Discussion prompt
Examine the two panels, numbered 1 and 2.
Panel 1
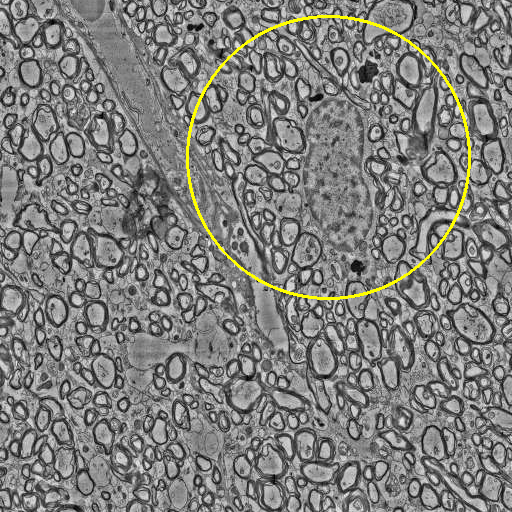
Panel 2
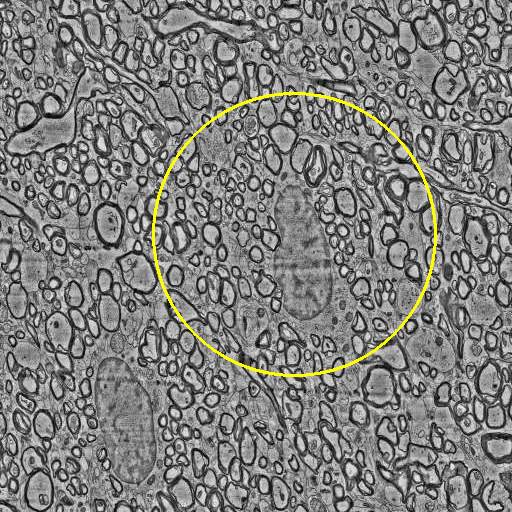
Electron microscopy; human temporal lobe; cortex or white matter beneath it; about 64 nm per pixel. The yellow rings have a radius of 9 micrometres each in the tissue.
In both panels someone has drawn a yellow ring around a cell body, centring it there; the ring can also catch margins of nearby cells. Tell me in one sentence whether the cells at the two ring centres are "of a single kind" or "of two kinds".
Taken together, the two cells centred in the rings of Panels 1 and 2 are of a single kind.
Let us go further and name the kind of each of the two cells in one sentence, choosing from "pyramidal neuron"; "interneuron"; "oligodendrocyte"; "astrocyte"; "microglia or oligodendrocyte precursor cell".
The ring centre holds an oligodendrocyte in each of the two pictures.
